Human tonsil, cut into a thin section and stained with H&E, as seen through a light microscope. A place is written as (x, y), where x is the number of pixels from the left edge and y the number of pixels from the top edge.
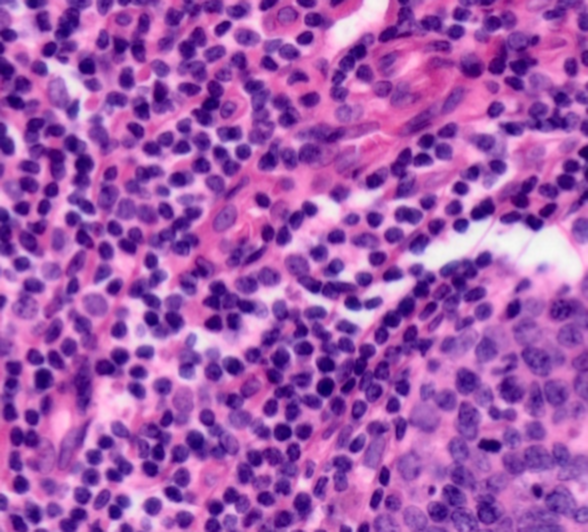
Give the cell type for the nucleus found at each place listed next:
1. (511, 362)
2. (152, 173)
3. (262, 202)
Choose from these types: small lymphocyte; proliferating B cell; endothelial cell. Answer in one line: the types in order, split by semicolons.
proliferating B cell; small lymphocyte; endothelial cell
